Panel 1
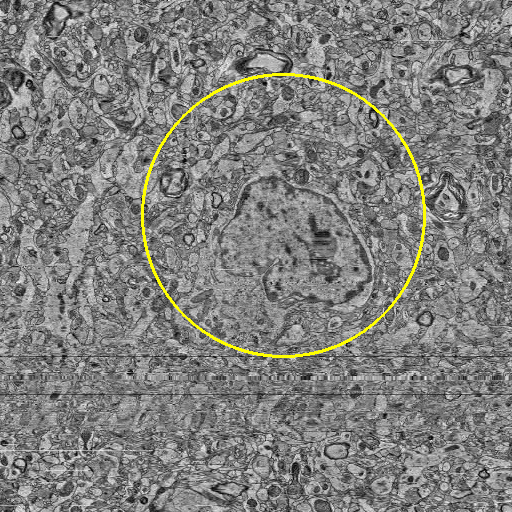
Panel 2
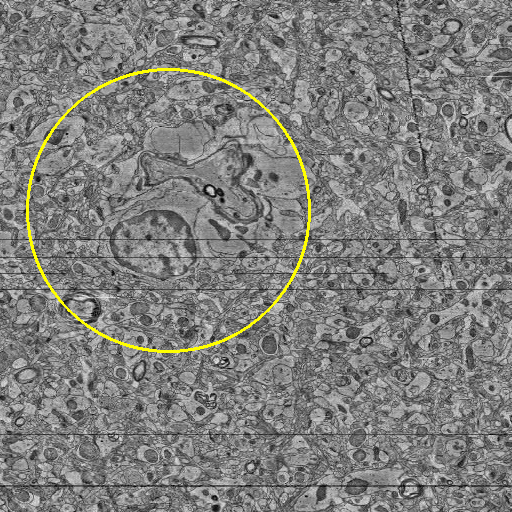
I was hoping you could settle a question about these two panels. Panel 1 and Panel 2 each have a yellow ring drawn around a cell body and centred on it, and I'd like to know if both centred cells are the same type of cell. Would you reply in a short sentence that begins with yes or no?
Yes, both are the same type of cell.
